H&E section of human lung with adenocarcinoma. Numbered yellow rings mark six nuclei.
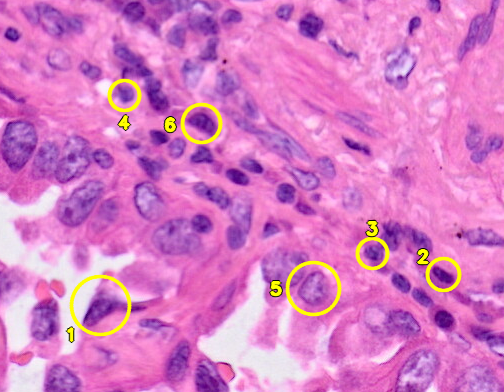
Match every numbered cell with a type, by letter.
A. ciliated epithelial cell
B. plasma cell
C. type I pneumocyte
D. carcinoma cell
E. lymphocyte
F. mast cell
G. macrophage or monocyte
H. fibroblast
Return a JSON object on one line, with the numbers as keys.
{"1": "D", "2": "B", "3": "E", "4": "E", "5": "D", "6": "B"}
